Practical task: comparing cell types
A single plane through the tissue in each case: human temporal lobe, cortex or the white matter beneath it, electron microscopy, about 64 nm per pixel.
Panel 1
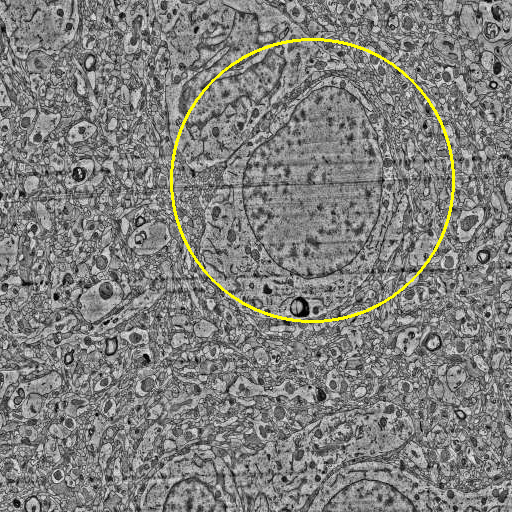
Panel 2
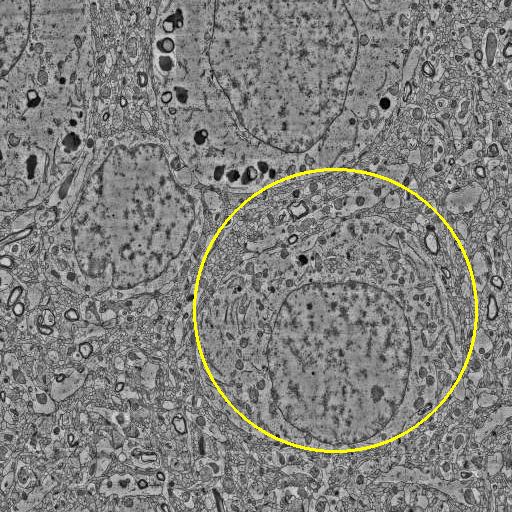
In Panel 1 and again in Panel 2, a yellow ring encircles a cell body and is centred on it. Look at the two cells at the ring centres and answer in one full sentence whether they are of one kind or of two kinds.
The two cells sitting at the ring centres of Panels 1 and 2 are of two kinds.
